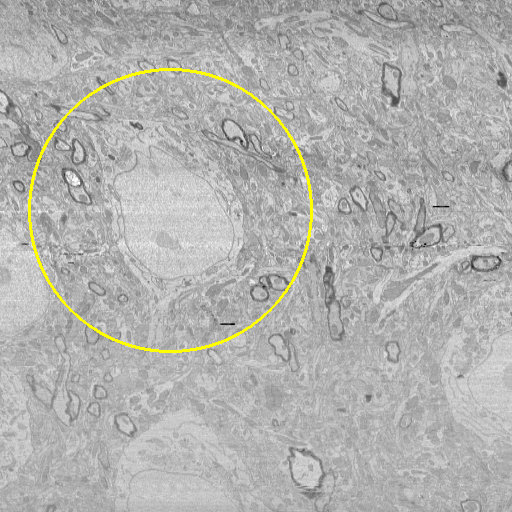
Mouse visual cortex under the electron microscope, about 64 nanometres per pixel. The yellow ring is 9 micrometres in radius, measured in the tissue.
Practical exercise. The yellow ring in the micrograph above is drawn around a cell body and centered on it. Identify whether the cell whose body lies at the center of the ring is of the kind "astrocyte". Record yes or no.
no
